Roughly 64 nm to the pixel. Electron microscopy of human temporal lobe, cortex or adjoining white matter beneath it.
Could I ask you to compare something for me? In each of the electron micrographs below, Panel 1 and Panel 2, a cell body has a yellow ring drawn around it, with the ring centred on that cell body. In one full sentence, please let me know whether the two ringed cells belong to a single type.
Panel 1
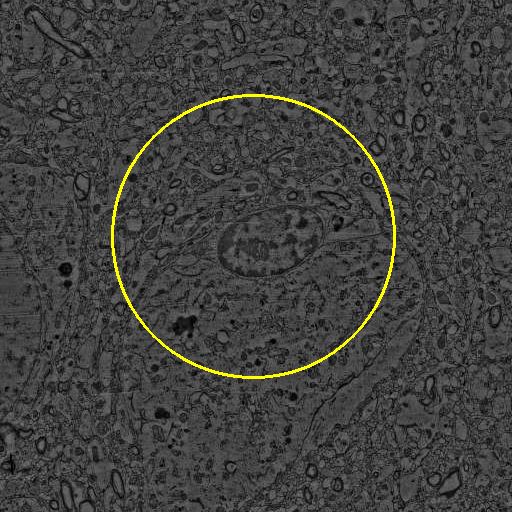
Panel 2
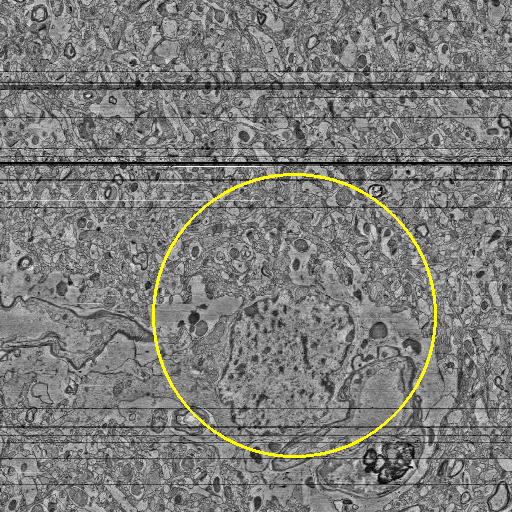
Yes, the two cells at the centres of the rings are of one type.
